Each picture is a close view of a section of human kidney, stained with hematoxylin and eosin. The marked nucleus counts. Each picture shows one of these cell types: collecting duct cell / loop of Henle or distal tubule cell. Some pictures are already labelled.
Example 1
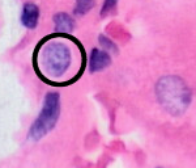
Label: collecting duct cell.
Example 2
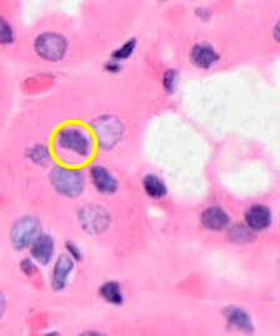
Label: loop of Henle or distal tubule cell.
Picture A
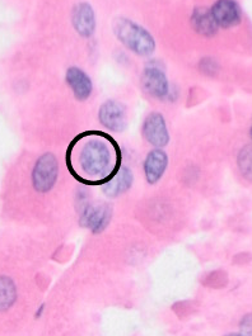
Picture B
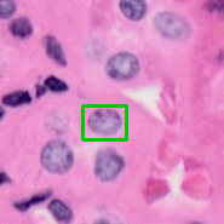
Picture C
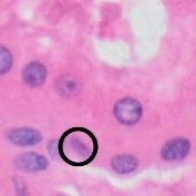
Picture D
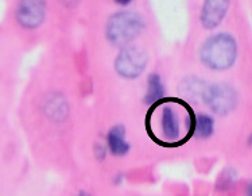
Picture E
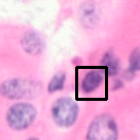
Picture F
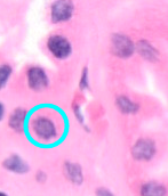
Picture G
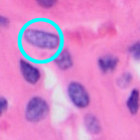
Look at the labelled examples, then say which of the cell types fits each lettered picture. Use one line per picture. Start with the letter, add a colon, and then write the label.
A: collecting duct cell.
B: loop of Henle or distal tubule cell.
C: collecting duct cell.
D: collecting duct cell.
E: collecting duct cell.
F: loop of Henle or distal tubule cell.
G: collecting duct cell.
